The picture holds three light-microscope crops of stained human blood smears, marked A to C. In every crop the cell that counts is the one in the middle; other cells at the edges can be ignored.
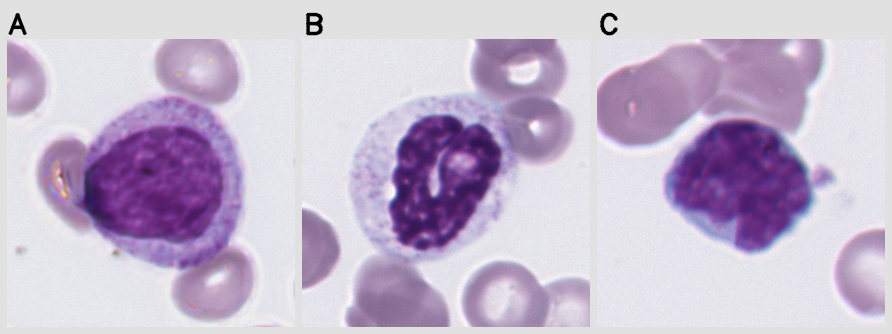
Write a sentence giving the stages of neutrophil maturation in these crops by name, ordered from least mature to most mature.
In order of rising maturity, the sequence is crop C (a myeloblast), crop A (a myelocyte) and crop B (a band neutrophil).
